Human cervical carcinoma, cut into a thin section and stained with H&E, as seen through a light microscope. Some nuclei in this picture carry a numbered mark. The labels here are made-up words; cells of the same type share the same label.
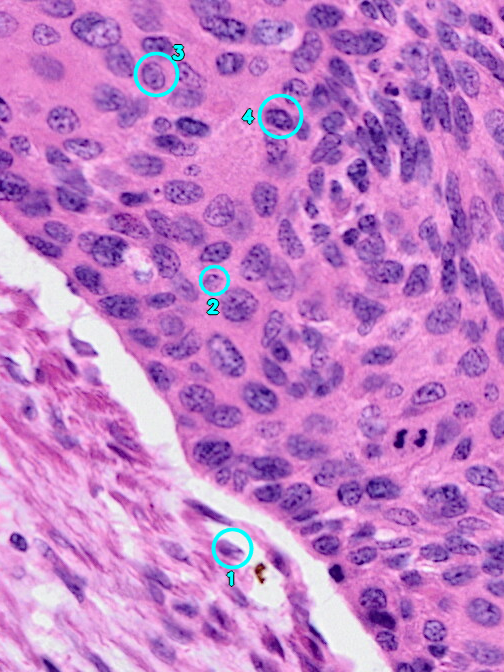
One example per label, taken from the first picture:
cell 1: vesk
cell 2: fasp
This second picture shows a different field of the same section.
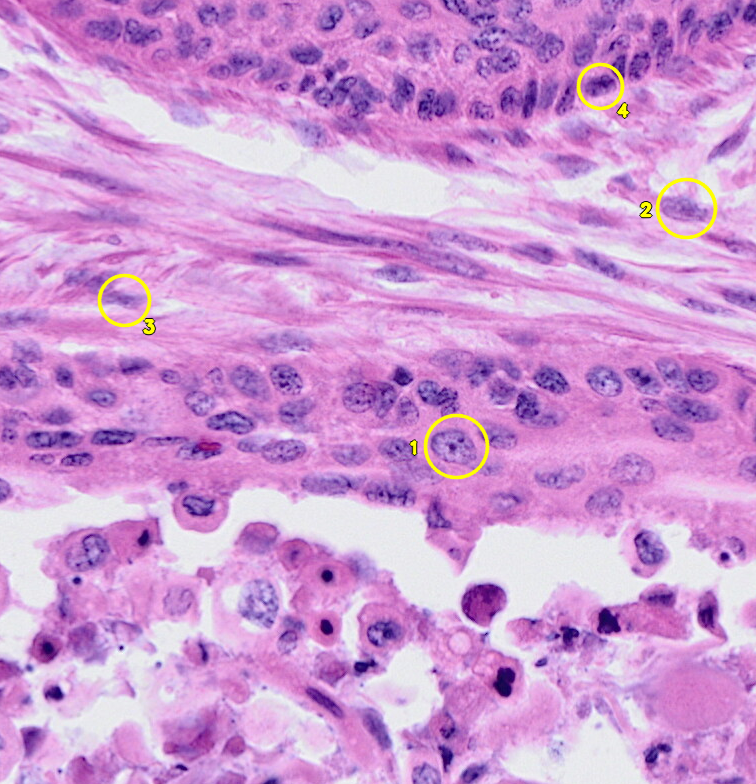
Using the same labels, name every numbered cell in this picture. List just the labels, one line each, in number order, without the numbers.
fasp
vesk
vesk
fasp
